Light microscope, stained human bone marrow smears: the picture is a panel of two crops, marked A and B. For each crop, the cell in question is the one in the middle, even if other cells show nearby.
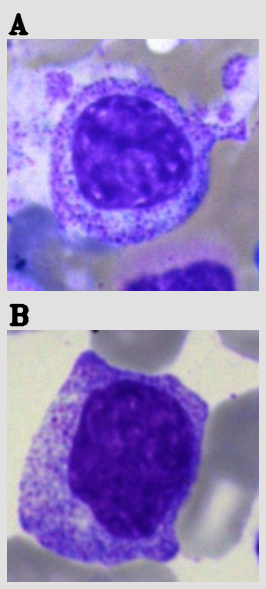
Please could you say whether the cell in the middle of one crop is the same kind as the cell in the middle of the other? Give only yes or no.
no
